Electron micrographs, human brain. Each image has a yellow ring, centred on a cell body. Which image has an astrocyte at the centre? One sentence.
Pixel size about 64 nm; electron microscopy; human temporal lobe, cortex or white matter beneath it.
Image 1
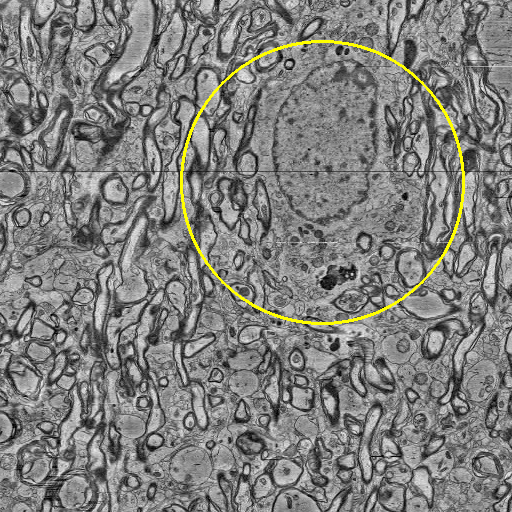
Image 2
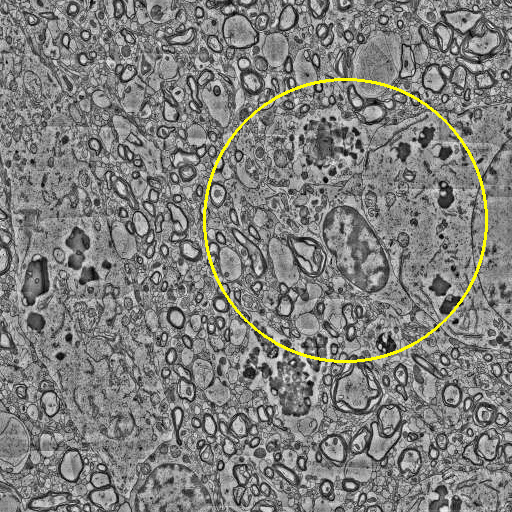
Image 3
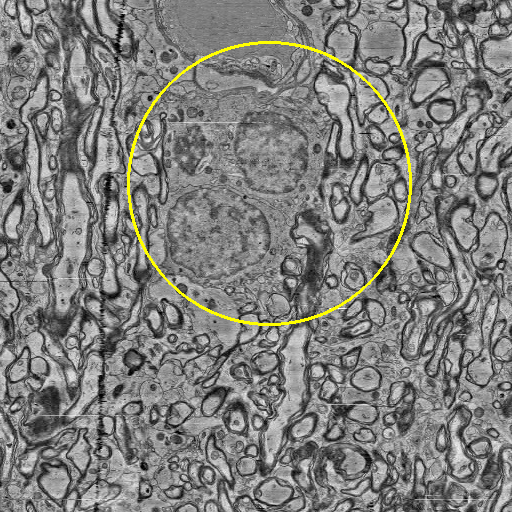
The ring in Image 1 is centred on it.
